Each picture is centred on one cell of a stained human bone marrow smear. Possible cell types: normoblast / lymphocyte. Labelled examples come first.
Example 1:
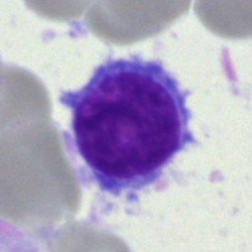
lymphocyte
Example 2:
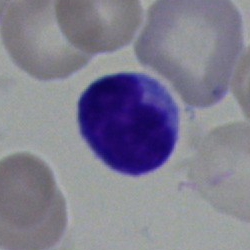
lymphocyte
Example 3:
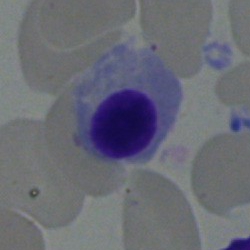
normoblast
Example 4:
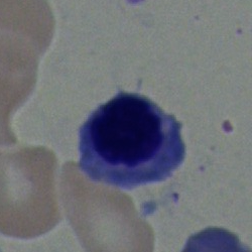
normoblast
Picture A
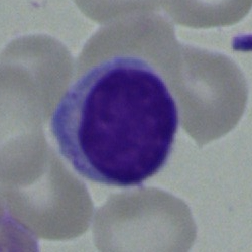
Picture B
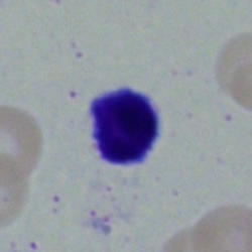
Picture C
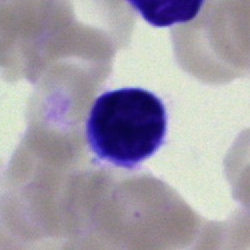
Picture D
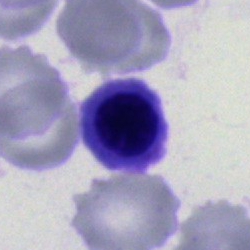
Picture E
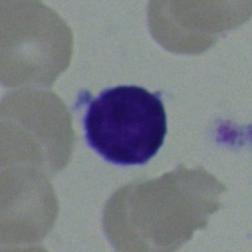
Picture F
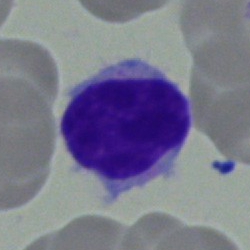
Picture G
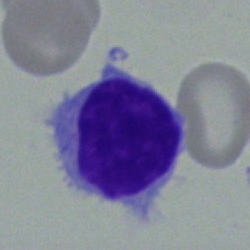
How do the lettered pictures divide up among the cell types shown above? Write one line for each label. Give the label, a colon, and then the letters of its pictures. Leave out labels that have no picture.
normoblast: D
lymphocyte: A, B, C, E, F, G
